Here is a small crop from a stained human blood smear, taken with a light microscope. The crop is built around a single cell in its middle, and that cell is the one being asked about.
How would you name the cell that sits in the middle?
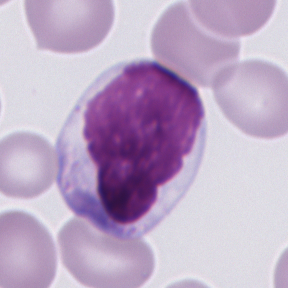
large granular lymphocyte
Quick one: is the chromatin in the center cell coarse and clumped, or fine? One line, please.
The chromatin is delicate and fine, lacking coarse clumping entirely.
